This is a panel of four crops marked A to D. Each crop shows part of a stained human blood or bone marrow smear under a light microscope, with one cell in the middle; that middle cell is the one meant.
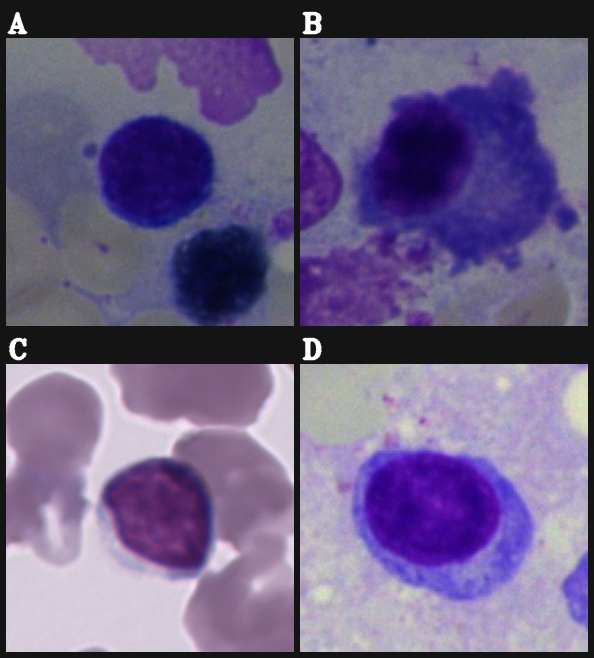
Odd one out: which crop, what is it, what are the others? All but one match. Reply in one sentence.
Crop B is the only one that is a plasma cell; all the others show lymphocytes.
